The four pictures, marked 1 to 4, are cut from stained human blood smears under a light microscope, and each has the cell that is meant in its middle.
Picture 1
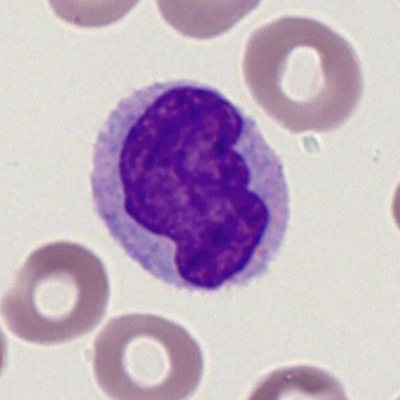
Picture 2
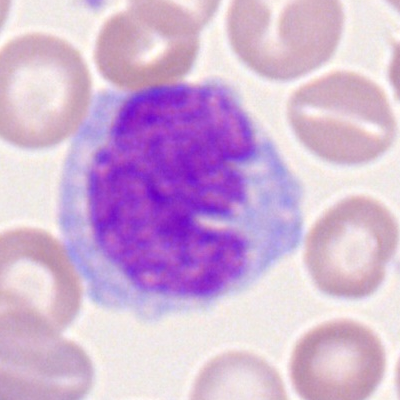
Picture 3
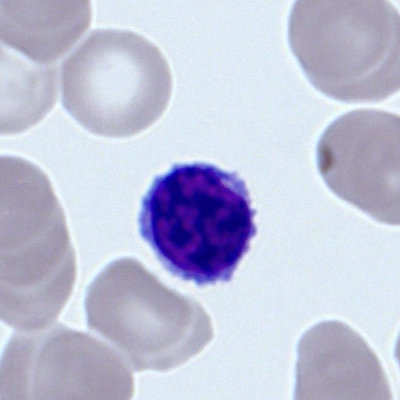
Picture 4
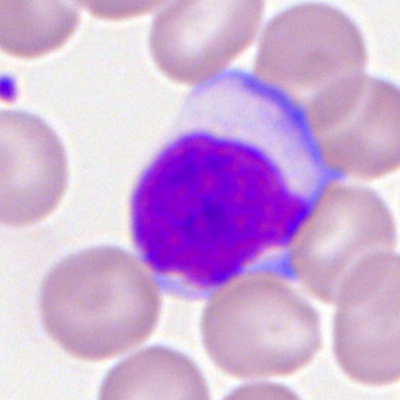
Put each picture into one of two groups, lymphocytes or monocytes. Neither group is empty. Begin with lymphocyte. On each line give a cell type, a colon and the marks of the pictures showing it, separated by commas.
lymphocyte: 3, 4
monocyte: 1, 2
